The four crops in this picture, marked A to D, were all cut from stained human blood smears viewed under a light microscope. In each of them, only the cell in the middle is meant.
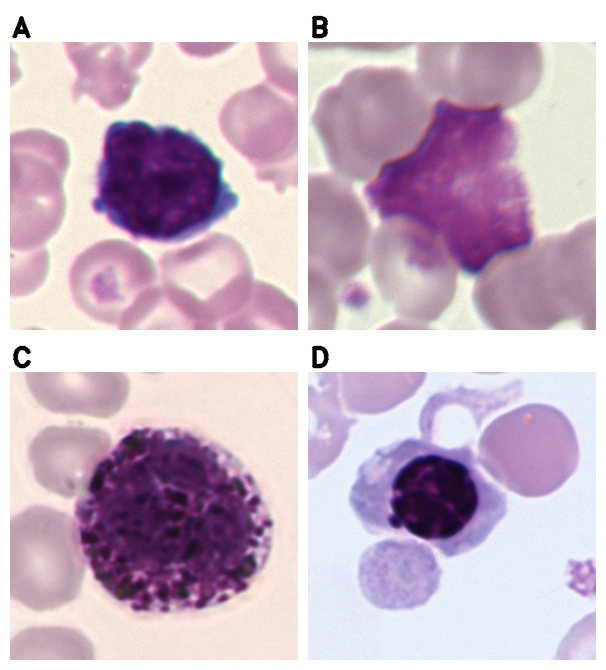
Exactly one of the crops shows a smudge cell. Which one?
B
